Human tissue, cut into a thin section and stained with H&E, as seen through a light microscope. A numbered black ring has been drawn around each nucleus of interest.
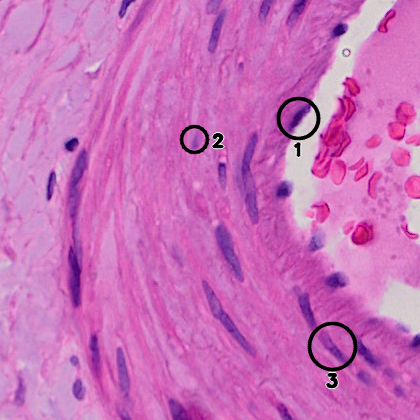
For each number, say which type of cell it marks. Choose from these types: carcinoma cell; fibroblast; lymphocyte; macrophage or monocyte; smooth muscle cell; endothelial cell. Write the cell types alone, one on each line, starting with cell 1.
endothelial cell
smooth muscle cell
smooth muscle cell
